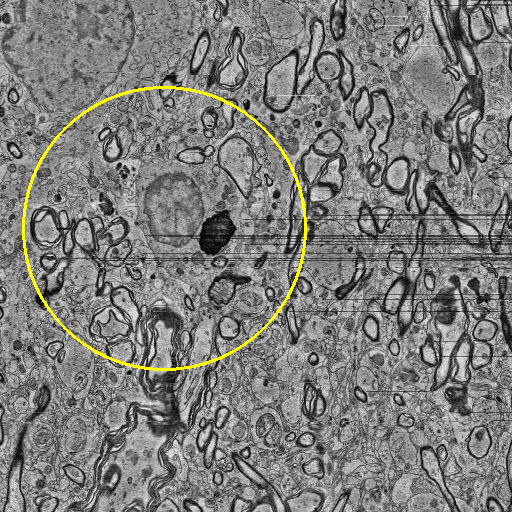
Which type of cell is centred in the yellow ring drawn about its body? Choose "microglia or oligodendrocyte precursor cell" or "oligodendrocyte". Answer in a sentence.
The yellow ring surrounds the cell body of an oligodendrocyte.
